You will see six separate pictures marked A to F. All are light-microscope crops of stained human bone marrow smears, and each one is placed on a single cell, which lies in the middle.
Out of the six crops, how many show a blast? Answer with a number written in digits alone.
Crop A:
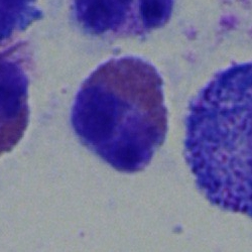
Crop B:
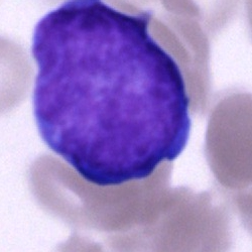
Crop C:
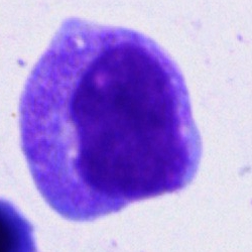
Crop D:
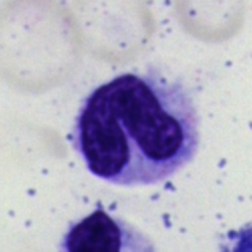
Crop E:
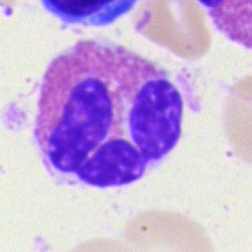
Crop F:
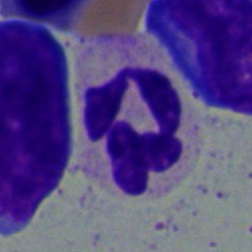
1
